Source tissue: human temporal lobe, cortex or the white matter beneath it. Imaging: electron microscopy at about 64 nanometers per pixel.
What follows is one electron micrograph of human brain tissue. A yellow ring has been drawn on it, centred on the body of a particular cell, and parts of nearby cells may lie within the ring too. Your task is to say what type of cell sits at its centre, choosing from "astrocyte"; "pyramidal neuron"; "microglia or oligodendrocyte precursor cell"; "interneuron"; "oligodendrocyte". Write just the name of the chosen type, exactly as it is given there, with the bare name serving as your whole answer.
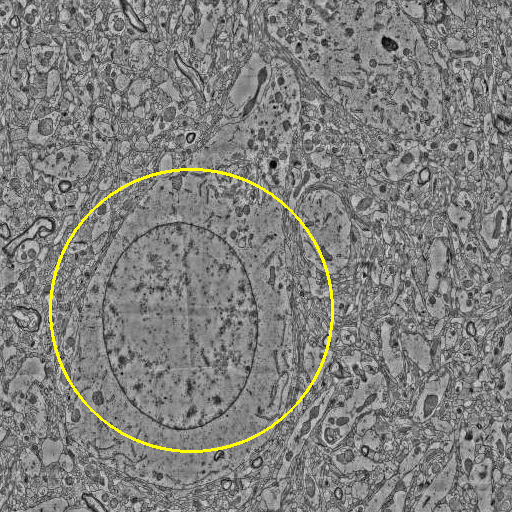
pyramidal neuron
